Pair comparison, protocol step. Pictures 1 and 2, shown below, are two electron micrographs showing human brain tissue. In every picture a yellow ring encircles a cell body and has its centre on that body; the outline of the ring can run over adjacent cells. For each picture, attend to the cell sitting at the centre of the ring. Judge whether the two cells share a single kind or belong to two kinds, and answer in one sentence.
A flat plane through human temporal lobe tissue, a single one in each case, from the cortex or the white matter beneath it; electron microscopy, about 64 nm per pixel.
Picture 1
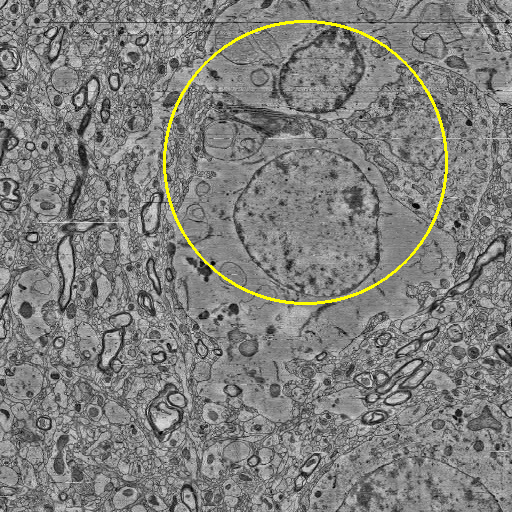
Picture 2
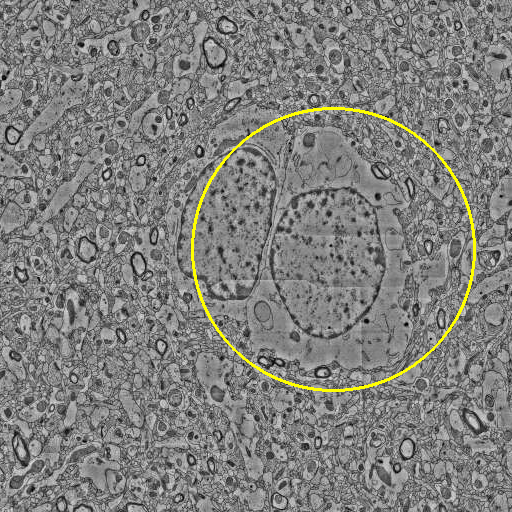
The two cells at the ring centres in Picture 1 and Picture 2 share a single kind.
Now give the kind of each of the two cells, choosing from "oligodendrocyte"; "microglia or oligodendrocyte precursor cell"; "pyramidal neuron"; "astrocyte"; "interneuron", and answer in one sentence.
Each of the ringed cells, first and second, is an astrocyte.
